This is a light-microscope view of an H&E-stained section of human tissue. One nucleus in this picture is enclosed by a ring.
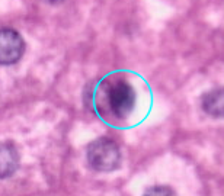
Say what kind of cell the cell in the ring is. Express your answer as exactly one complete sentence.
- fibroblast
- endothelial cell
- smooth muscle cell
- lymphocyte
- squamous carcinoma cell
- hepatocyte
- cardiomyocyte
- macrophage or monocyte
Considered by cell type, the cell in the ring is an endothelial cell.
